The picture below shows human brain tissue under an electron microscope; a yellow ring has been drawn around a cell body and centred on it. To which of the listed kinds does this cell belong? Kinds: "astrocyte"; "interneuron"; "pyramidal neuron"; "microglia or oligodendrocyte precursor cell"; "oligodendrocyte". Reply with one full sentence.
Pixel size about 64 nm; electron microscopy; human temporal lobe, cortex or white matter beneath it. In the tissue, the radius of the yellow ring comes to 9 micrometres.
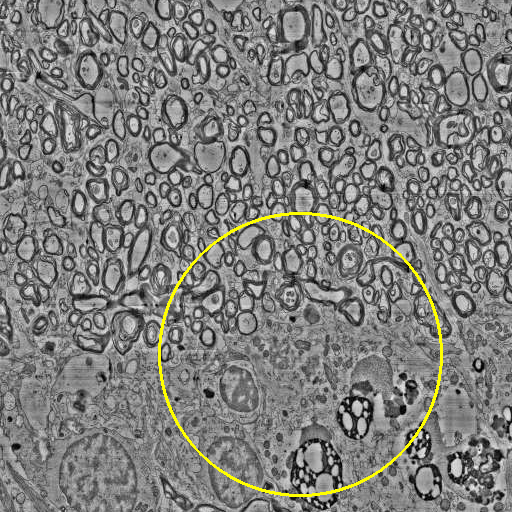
It is an astrocyte that the yellow ring in the picture is centred on.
